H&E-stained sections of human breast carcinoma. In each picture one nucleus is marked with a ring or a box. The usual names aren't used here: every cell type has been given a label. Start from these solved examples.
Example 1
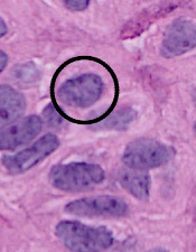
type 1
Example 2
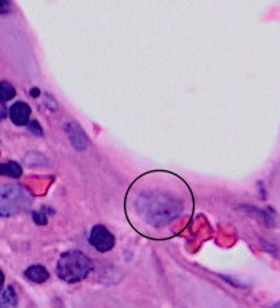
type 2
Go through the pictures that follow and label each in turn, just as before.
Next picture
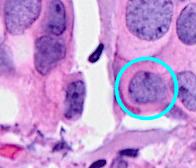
type 1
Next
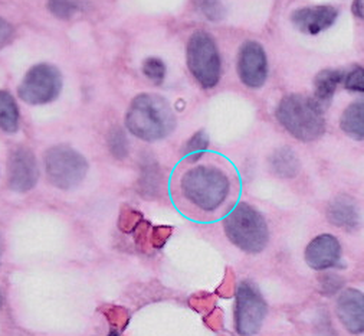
type 1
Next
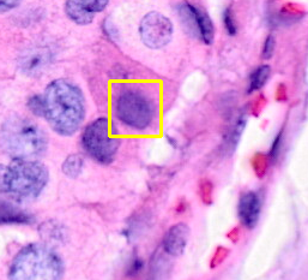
type 1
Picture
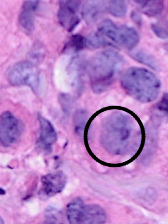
type 1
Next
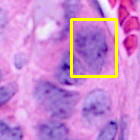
type 1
